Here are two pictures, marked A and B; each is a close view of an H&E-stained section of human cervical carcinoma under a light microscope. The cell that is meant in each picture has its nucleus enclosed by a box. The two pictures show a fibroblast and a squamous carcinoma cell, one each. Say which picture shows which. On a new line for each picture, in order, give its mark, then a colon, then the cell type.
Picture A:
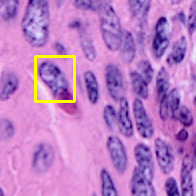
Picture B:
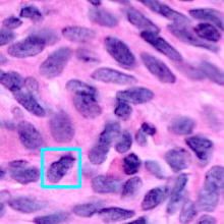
A: squamous carcinoma cell
B: fibroblast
